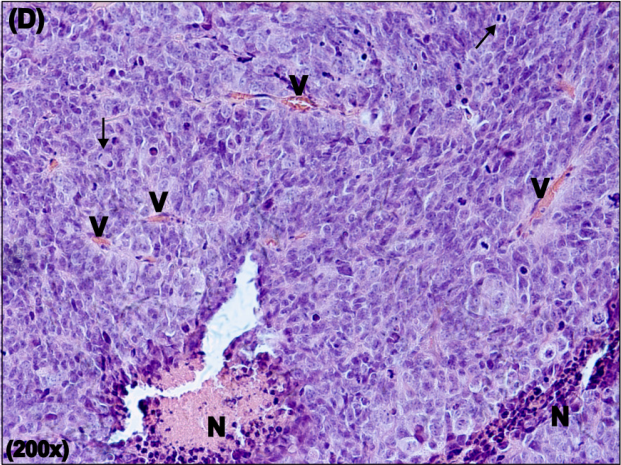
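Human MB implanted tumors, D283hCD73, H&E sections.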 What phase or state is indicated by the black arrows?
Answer: Mitosis.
